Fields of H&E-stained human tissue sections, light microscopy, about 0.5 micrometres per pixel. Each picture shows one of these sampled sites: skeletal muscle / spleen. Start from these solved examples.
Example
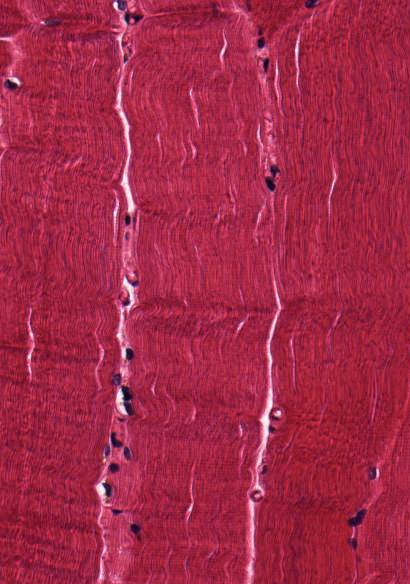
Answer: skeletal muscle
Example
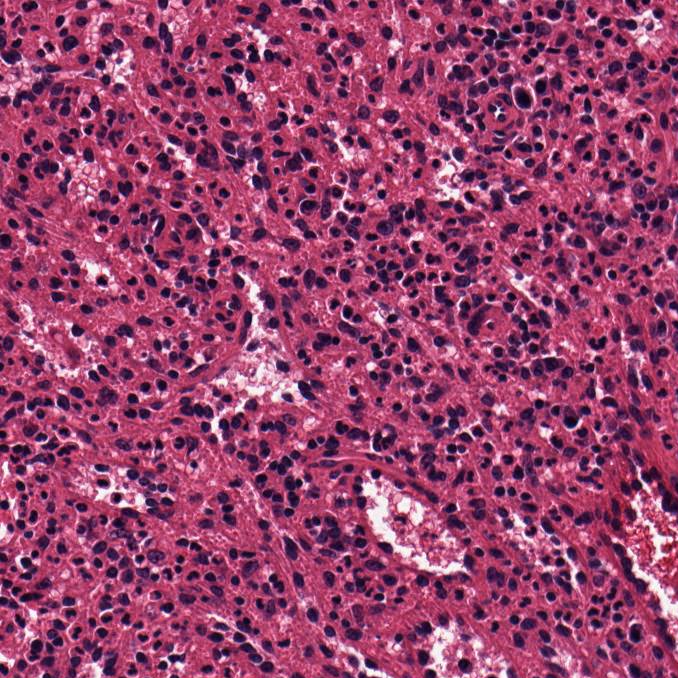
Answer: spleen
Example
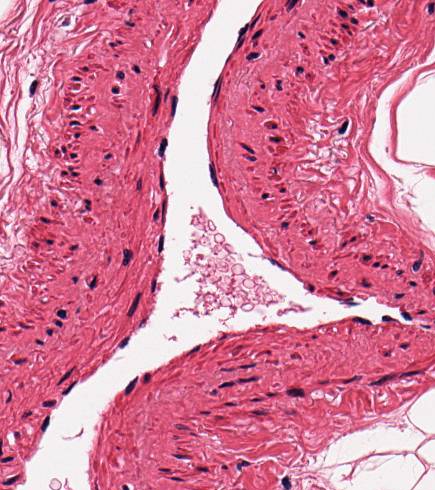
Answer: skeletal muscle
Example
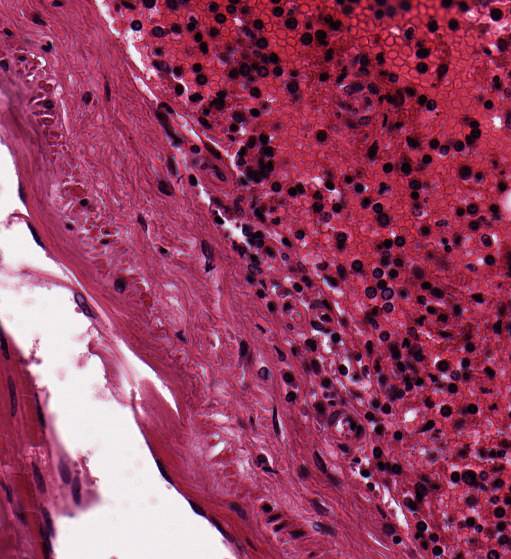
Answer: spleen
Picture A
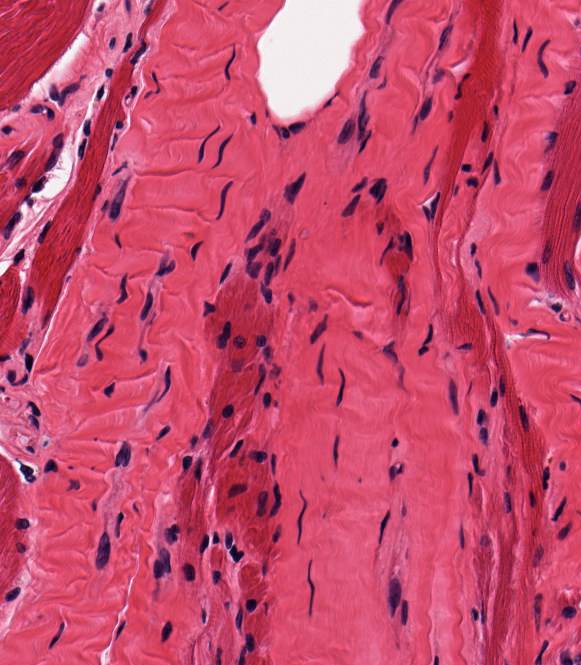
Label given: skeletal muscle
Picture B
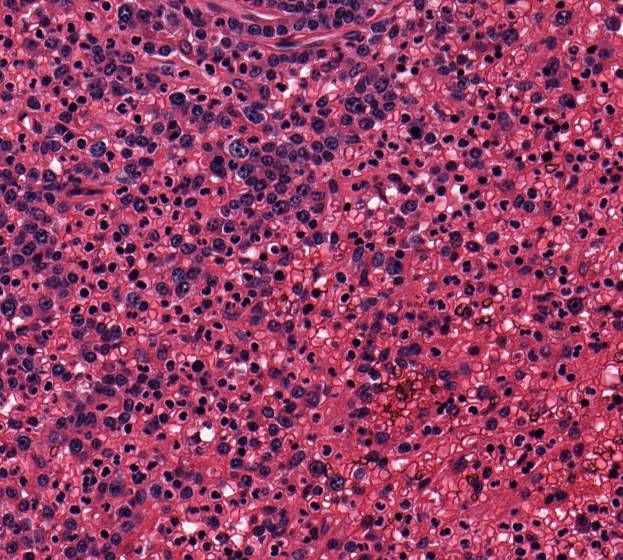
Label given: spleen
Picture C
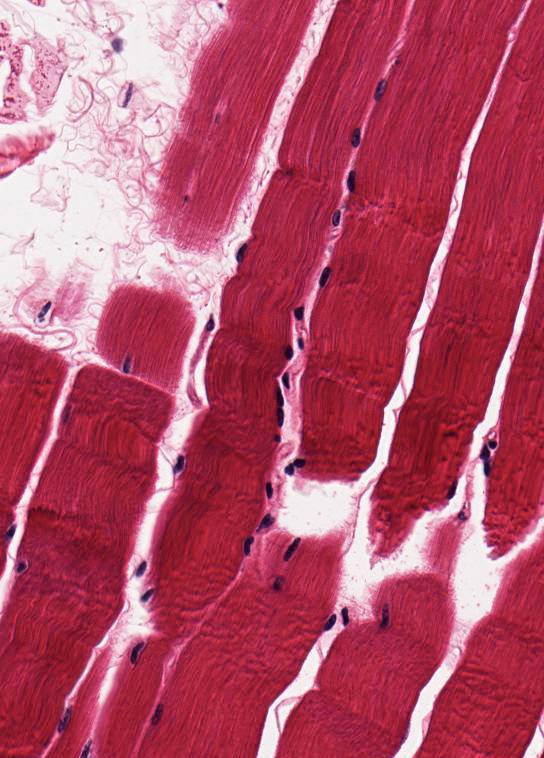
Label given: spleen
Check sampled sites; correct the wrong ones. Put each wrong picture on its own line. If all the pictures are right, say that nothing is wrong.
C: not spleen but skeletal muscle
